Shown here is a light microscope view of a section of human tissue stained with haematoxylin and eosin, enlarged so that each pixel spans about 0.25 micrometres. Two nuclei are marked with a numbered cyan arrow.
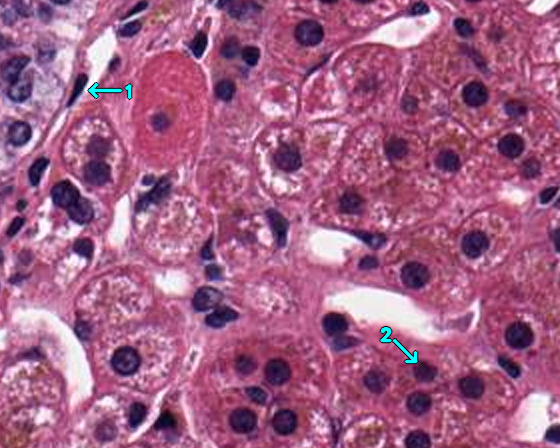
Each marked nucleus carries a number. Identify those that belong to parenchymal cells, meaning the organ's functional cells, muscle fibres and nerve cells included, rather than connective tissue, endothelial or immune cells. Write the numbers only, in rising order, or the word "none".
2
